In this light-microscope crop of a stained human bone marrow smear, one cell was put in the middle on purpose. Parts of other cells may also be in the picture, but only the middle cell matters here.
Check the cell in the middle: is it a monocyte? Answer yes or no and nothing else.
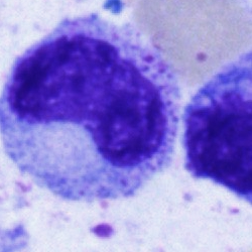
no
